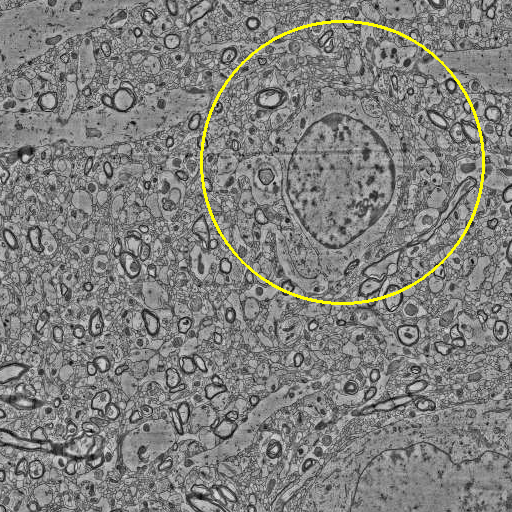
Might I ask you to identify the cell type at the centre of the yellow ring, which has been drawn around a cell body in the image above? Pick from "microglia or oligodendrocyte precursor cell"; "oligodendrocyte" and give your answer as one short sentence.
The centre of the ring falls on a microglial cell or oligodendrocyte precursor cell.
